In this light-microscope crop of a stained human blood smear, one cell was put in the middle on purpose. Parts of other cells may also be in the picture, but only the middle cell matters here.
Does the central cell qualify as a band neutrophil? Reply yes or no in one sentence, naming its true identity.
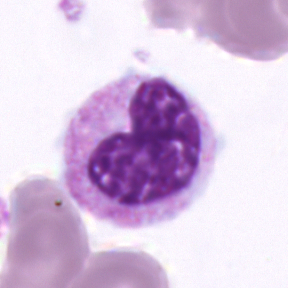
No, not a band neutrophil but a metamyelocyte is the cell in the centre.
